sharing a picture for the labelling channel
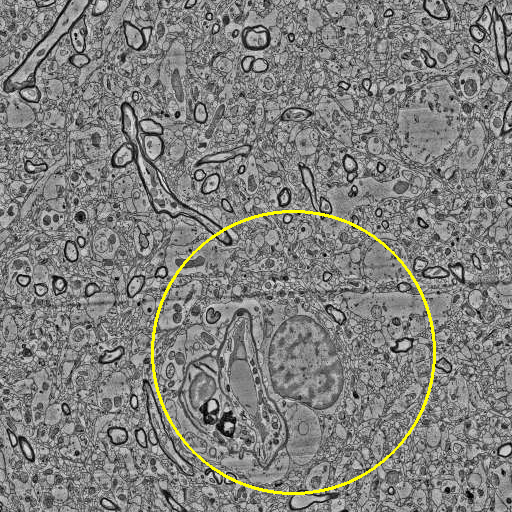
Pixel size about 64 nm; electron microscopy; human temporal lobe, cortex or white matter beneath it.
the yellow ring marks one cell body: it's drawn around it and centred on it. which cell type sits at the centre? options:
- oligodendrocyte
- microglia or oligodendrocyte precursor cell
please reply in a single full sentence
In the picture, the cell at the ring's centre is an oligodendrocyte, going by the list.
